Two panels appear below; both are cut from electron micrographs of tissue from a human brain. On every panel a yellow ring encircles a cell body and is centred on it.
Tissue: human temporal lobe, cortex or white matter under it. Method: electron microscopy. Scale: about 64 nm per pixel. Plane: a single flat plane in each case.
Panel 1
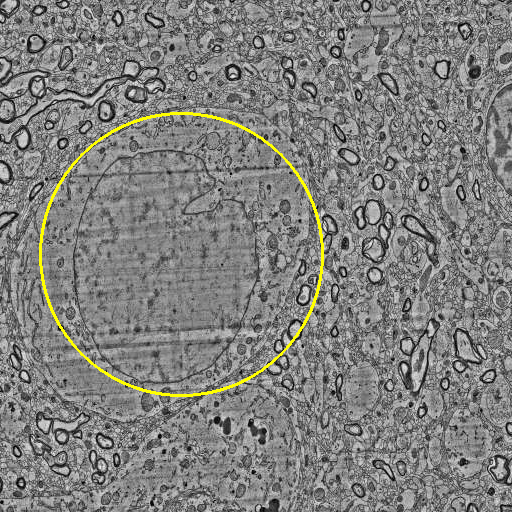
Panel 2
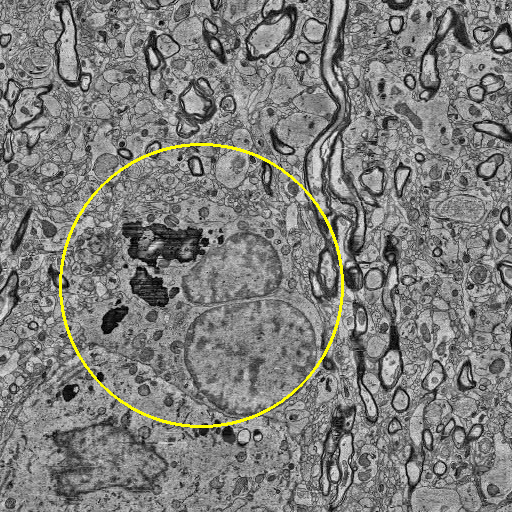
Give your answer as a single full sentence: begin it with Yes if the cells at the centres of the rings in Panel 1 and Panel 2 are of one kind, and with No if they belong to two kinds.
No, the cells in the middle of the rings in Panels 1 and 2 are of two kinds.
